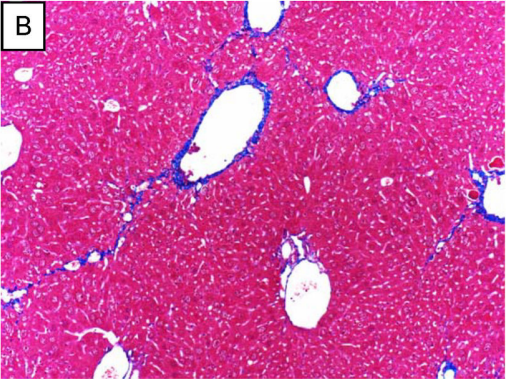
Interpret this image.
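Liver parenchyma with fibrosis. Cords of polygonal hepatocytes with round central nuclei and red-pink cytoplasm fill most of the field, separated by narrow pale sinusoids. Thin blue strands extend from these vessels through the parenchyma and link neighbouring vessels, outlining parts of the lobules. The hepatocyte cords between the strands keep their ordinary arrangement.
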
